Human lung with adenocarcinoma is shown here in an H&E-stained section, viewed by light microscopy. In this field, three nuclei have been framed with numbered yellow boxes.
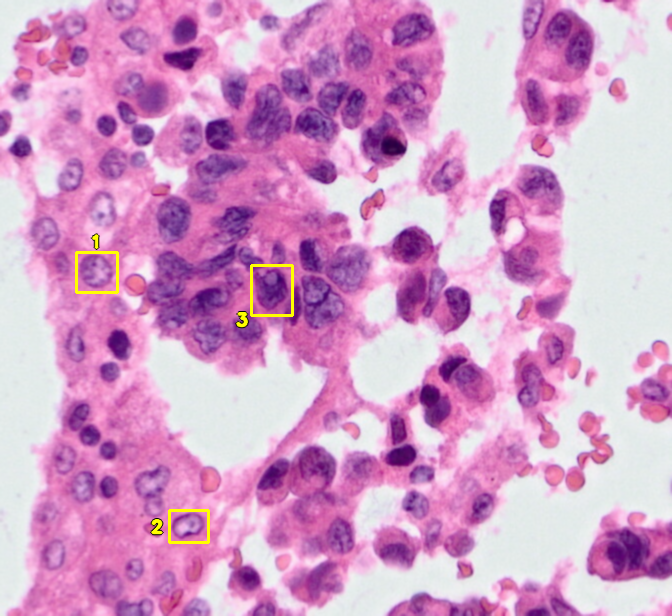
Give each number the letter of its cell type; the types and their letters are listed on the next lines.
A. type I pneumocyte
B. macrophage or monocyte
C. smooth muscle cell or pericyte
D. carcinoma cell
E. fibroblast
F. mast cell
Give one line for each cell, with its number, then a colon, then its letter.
1: B
2: B
3: D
